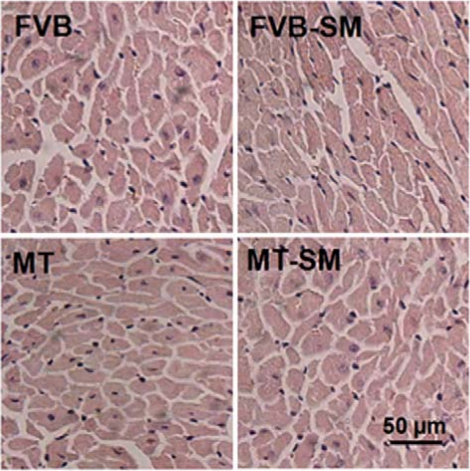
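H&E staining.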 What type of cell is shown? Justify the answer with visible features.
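Cardiomyocyte. Polygonal pink muscle fibers cut in cross-section, packed closely together. Thin pale spaces separate neighbouring fibers.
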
